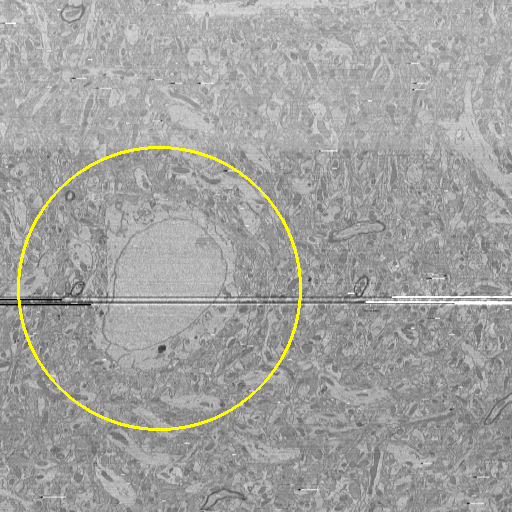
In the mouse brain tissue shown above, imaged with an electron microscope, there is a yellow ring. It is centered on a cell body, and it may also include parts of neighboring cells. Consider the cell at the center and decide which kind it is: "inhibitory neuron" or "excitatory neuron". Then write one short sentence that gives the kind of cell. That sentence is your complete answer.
This centered cell body is that of an excitatory neuron.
